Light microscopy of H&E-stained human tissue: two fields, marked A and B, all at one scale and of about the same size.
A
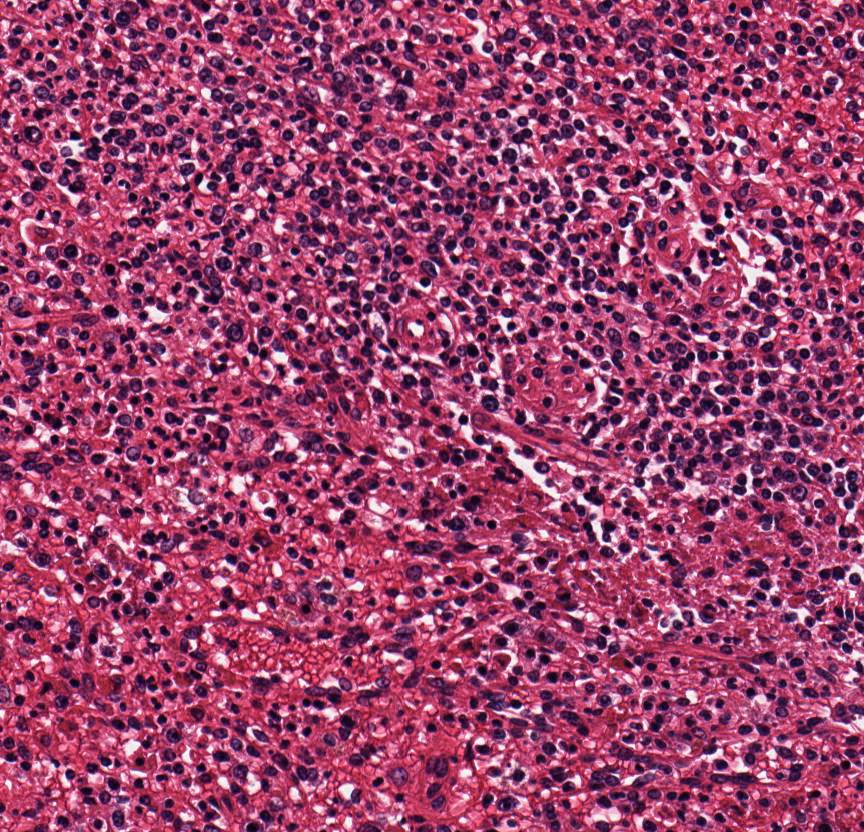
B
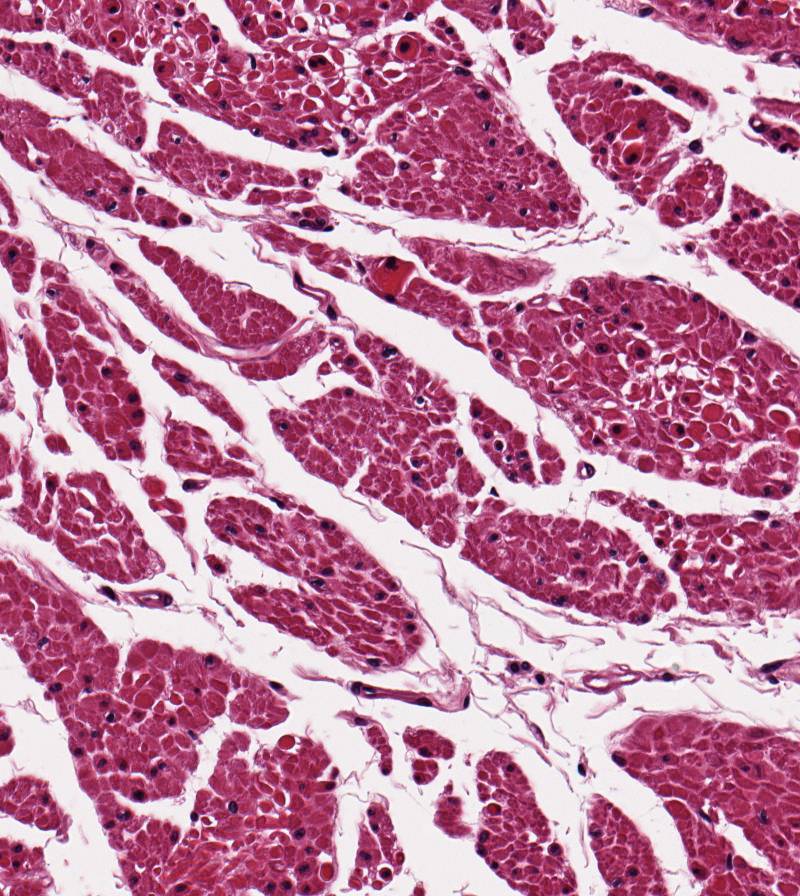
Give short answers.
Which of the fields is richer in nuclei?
A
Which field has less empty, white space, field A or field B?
A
